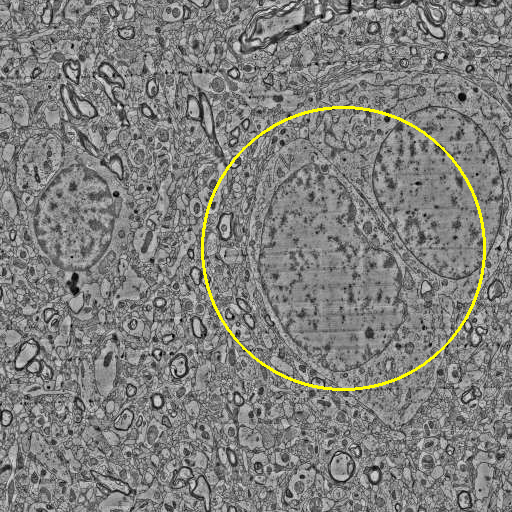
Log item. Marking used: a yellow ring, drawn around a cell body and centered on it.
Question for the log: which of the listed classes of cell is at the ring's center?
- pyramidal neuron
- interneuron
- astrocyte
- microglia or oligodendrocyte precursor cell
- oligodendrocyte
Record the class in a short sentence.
At the center of the ring lies an interneuron.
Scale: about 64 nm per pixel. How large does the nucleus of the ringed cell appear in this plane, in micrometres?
The nucleus has a long axis of about 13 micrometres and a short axis of about 9 micrometres in this plane.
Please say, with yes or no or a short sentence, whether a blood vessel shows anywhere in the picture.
No, a blood vessel is absent from this picture.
